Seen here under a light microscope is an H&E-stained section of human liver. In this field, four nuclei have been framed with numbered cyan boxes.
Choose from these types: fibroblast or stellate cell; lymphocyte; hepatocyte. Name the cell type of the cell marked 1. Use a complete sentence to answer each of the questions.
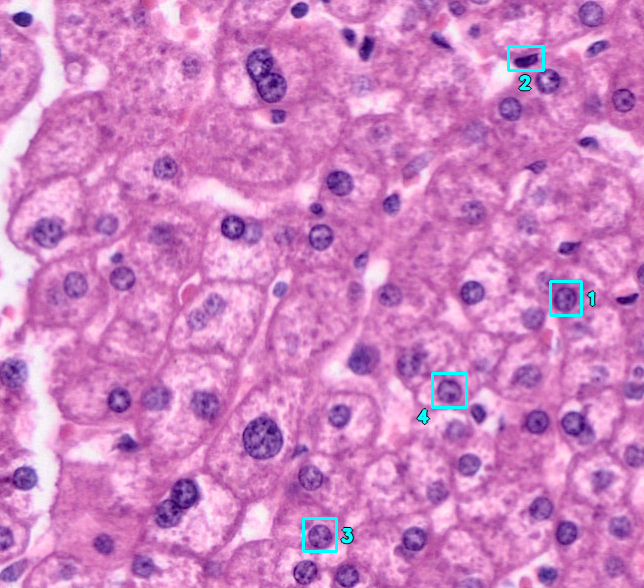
The cell carrying label 1 is identified as a hepatocyte.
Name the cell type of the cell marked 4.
Cell 4, as marked in the section, is a hepatocyte.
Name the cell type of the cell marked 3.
The one labeled 3 is a hepatocyte, to put it simply.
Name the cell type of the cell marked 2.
The cell referenced by the number 2 is a fibroblast or stellate cell in this field.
